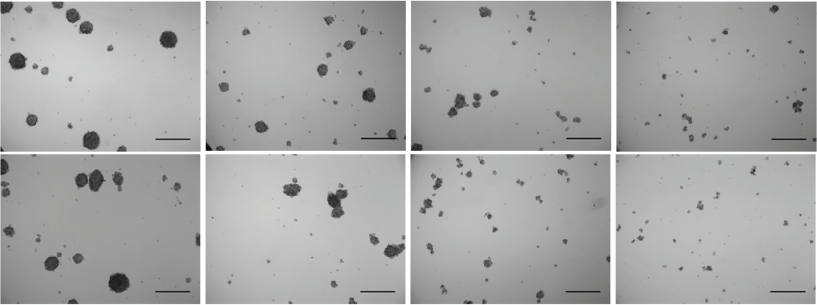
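Across a pale field lie many dark, dense, roughly spherical clusters of cells of very different sizes, each with a fairly sharp, slightly bumpy edge. They are free-floating spheres formed by aggregated cells. In the images toward the right the clusters are mostly small and irregular, and few large round spheres remain.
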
